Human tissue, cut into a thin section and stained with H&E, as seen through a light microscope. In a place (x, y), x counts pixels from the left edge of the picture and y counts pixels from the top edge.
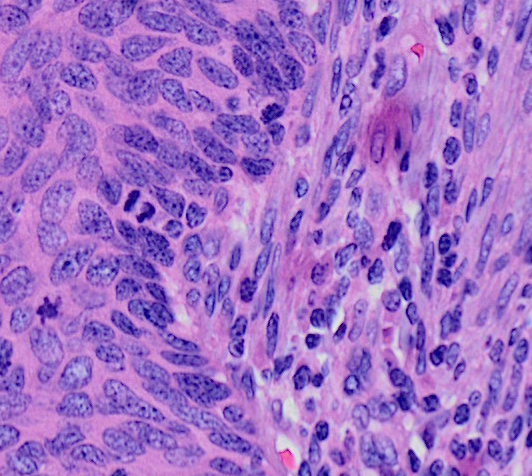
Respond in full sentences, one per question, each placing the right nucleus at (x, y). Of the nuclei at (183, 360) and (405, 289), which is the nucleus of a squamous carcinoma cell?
The nucleus at (183, 360), rather than the other, belongs to a squamous carcinoma cell.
